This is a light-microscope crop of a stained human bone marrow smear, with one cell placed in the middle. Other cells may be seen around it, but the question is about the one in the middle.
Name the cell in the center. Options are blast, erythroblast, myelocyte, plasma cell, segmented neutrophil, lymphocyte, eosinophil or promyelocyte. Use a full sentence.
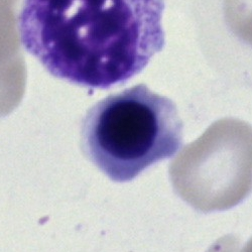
In the central position of this crop, the cell is an erythroblast.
